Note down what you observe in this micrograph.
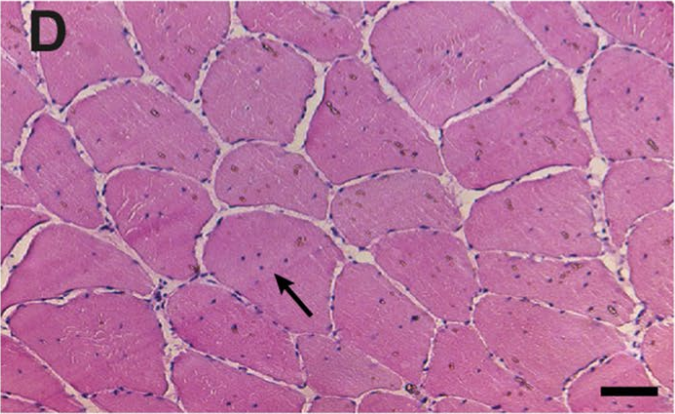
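This is skeletal muscle in cross section, with pink polygonal fibres packed closely and separated by thin pale gaps. The fibres vary in size, with some smaller angular ones among larger ones. Many fibres carry dark blue nuclei lying inside the fibre rather than just beneath its border.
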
